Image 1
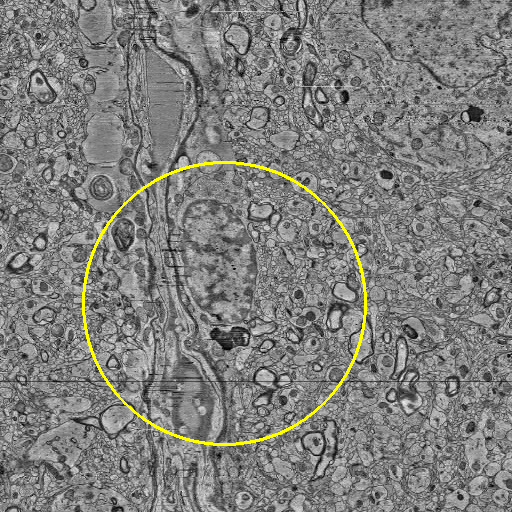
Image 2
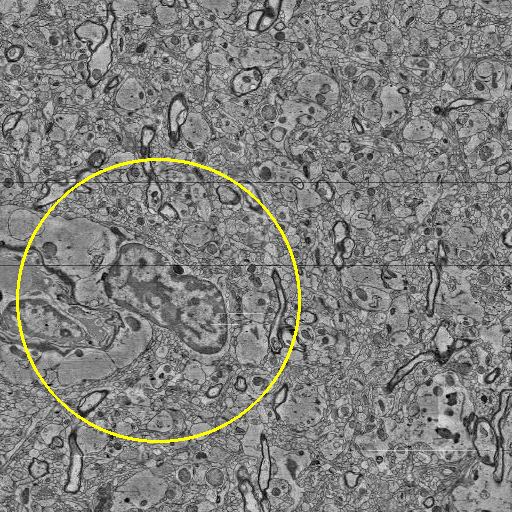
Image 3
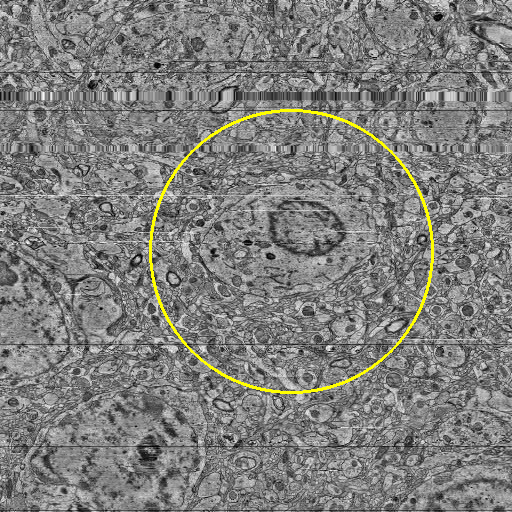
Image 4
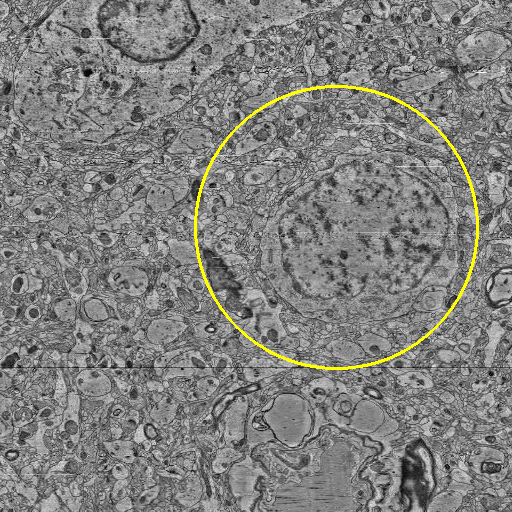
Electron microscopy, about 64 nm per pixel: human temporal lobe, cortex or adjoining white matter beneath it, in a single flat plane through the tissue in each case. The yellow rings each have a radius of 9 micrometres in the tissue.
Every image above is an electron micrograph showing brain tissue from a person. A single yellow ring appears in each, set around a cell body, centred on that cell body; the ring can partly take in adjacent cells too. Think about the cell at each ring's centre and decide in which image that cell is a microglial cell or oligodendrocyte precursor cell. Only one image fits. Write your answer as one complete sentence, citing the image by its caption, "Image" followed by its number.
Image 2 is the one whose ringed central cell fits the description.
